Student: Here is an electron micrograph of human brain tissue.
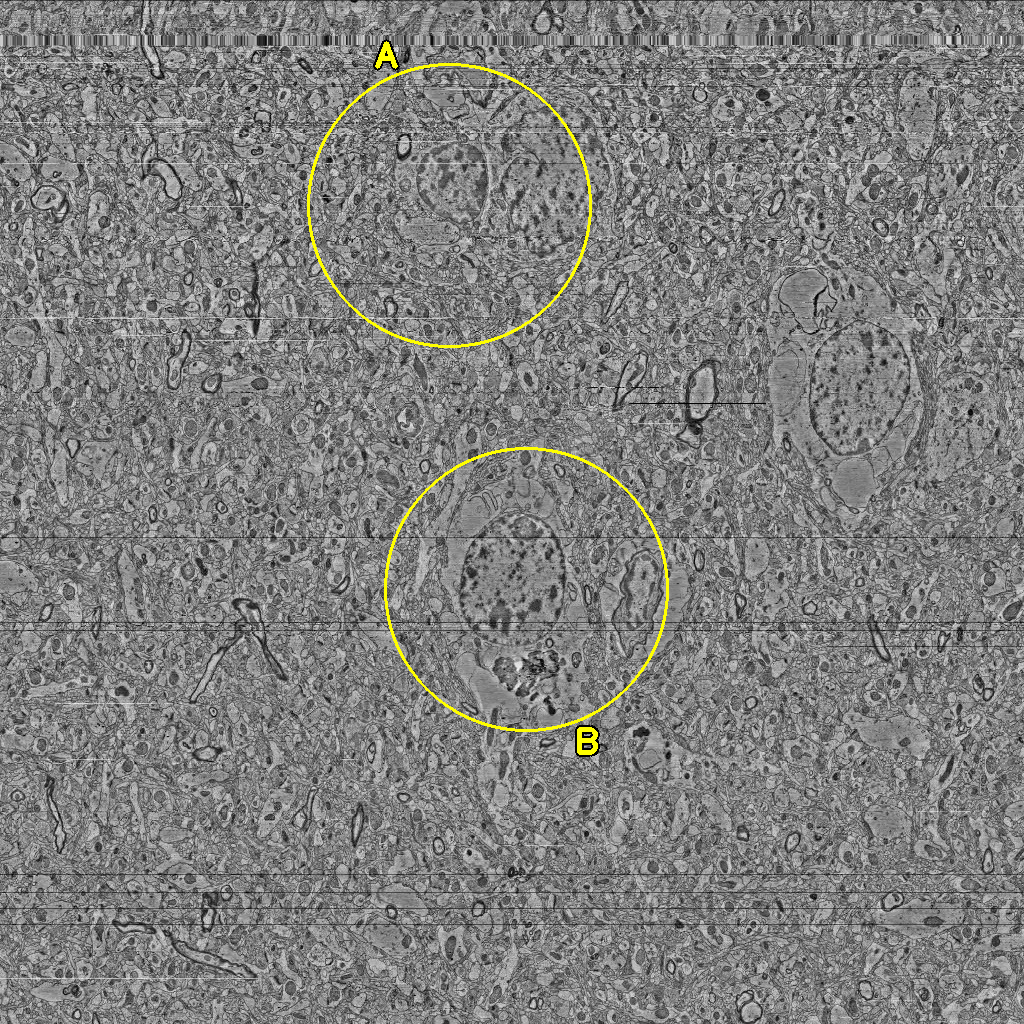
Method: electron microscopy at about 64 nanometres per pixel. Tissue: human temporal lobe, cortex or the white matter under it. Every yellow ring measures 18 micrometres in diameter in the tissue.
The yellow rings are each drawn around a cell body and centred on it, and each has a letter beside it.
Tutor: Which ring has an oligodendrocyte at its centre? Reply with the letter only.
A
